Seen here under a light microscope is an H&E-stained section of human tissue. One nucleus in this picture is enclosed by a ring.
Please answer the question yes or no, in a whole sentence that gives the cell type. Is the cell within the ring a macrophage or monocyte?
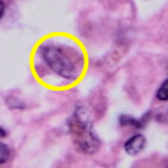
Yes, correct on this one: the cell within the ring is a macrophage or monocyte.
